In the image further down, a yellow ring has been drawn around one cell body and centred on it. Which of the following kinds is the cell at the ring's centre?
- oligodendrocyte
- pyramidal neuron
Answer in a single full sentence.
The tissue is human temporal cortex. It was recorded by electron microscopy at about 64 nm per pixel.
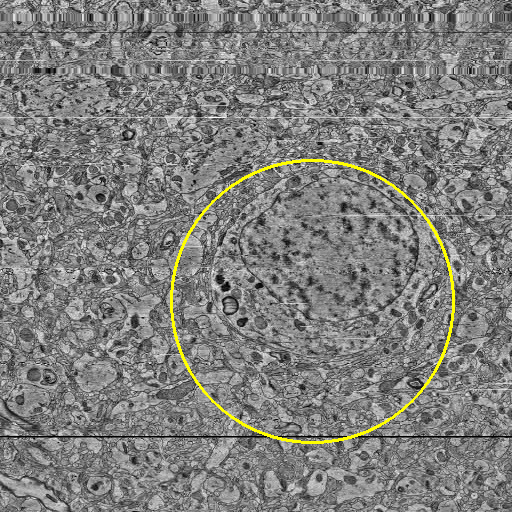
In the picture, the cell sitting at the centre of the yellow ring is a pyramidal neuron.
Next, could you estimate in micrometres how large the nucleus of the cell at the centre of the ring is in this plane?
In this plane, the nucleus of the cell at the centre of the ring measures about 11 by 10 micrometres.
